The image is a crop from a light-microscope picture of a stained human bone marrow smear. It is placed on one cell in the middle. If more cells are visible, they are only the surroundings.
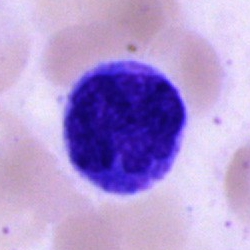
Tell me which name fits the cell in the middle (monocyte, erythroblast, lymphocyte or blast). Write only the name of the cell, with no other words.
monocyte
